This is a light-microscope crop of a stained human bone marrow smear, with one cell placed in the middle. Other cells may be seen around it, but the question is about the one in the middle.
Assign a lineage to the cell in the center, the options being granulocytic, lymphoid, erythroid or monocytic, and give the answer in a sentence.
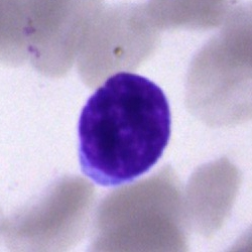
Of the possible lineages, the central cell belongs to the lymphoid lineage.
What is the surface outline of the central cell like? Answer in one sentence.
The cell shows a smooth outline that lacks any surface projections.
